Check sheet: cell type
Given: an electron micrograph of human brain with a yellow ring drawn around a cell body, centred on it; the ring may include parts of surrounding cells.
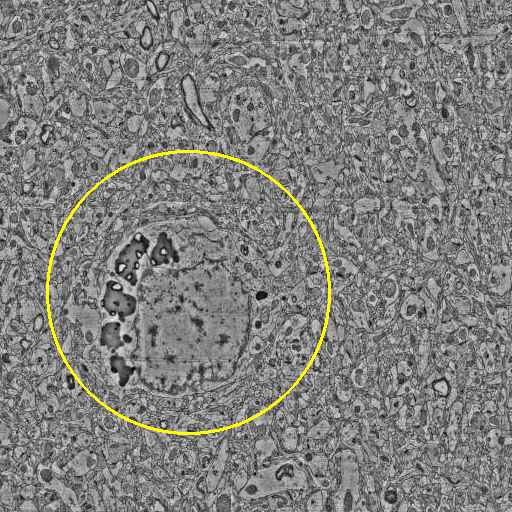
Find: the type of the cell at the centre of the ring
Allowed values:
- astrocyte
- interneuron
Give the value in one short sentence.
Here the ringed cell is an interneuron.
